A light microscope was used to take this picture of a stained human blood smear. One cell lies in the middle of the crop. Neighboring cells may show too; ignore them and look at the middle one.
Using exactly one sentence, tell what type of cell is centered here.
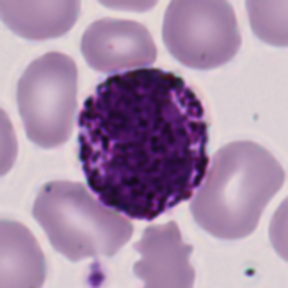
The cell at the middle of the crop is recognized as a basophil.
